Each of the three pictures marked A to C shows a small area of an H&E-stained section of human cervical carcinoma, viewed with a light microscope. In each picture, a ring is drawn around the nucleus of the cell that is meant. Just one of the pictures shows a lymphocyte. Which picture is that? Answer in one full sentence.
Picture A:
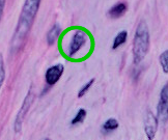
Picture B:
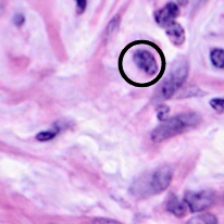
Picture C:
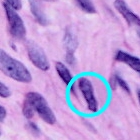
The lymphocyte is the one in picture B.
